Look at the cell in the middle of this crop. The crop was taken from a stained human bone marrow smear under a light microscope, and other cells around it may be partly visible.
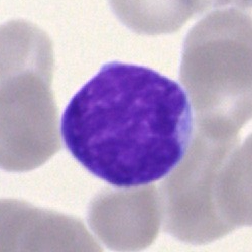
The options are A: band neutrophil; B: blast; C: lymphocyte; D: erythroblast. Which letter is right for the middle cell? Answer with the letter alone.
B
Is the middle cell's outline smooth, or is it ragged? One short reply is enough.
A smooth, projection-free outline is what this cell has.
